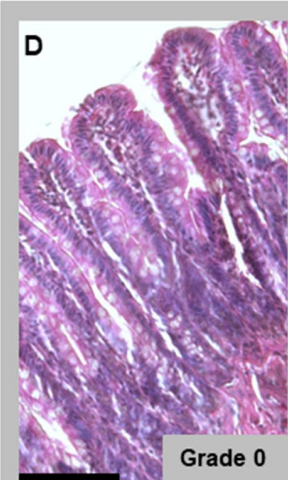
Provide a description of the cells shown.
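This section of intestinal mucosa shows several long, closely set villi running diagonally across the field. Each villus is covered by a single layer of tall columnar epithelial cells with elongated, dark purple nuclei lined up toward the cell bases. The cytoplasm stains pink to pale violet. A narrow core of loosely arranged connective tissue with scattered nuclei runs up the centre of each villus. The epithelium lies flat against the underlying core along its whole length, with no gaps or detached areas, and the villus tips are intact.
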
